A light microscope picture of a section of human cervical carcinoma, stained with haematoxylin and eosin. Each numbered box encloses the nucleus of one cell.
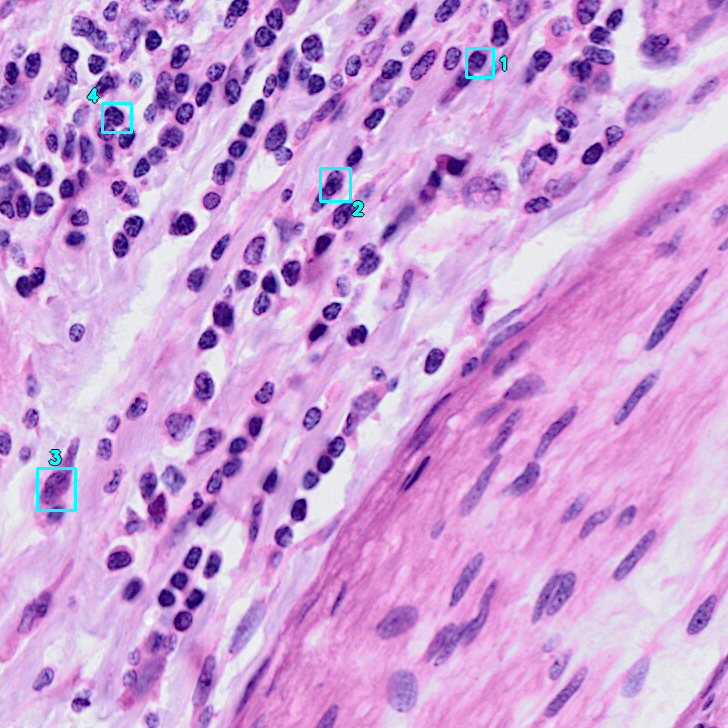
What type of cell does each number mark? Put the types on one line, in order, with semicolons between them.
lymphocyte; lymphocyte; macrophage or monocyte; lymphocyte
